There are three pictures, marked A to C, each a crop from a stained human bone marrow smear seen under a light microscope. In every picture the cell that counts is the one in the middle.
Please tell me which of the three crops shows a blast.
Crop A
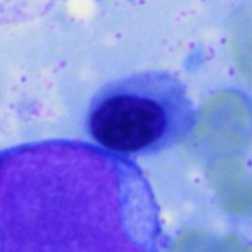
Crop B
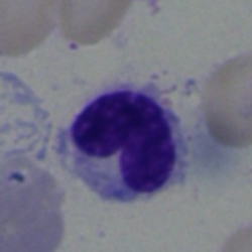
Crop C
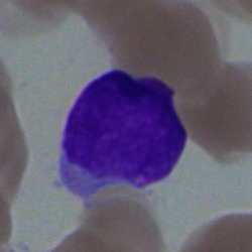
C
